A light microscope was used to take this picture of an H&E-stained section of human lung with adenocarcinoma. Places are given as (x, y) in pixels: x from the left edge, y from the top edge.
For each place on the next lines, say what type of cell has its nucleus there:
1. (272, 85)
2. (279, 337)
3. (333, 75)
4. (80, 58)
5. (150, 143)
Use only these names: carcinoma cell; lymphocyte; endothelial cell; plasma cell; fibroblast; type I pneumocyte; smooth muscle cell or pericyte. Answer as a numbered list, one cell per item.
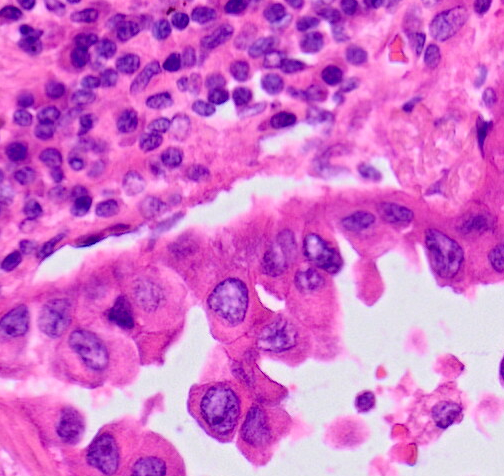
1. lymphocyte
2. carcinoma cell
3. plasma cell
4. plasma cell
5. lymphocyte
